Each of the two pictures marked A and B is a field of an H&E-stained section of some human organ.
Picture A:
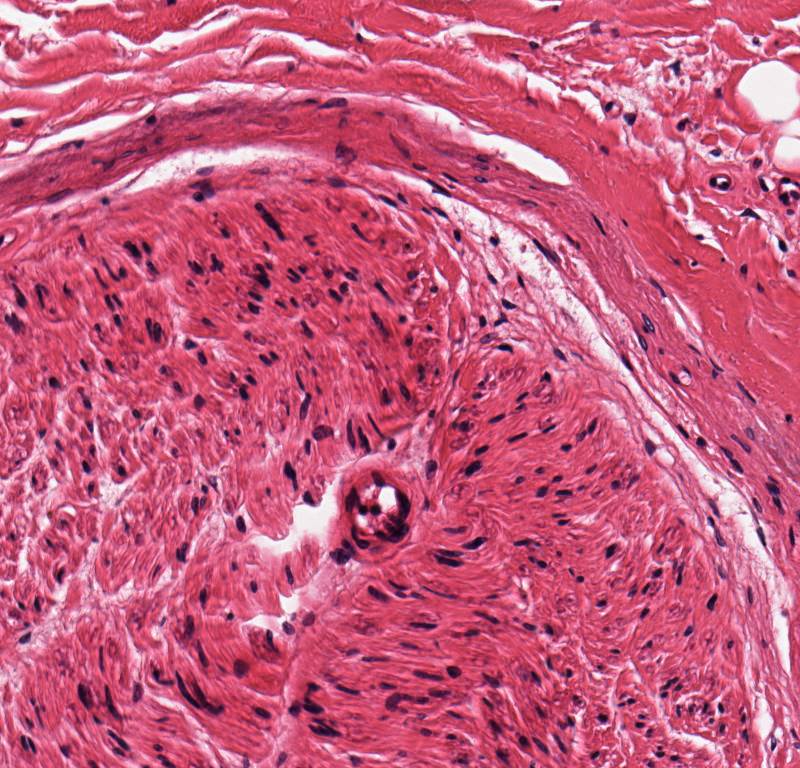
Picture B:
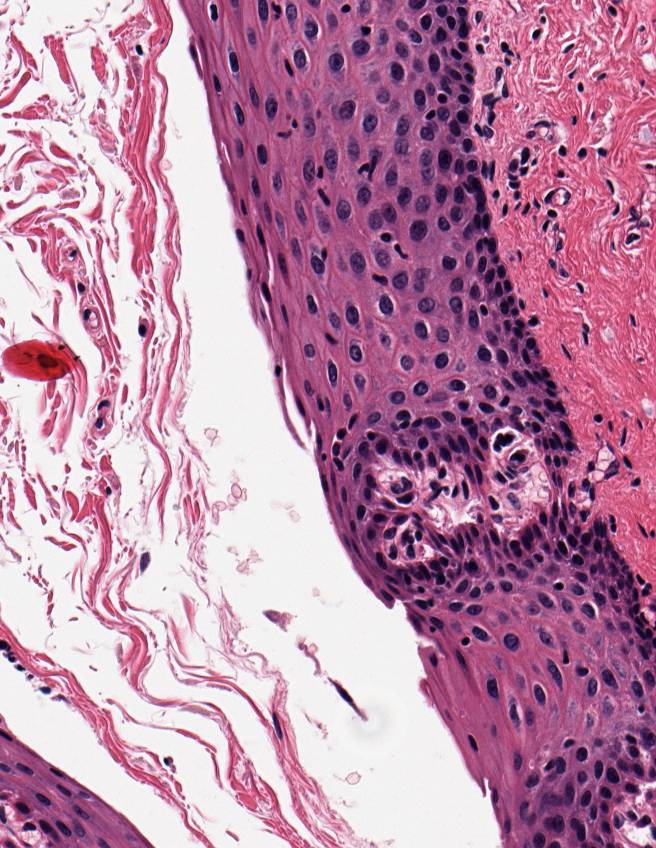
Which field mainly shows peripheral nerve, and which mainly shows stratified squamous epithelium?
A: peripheral nerve
B: stratified squamous epithelium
